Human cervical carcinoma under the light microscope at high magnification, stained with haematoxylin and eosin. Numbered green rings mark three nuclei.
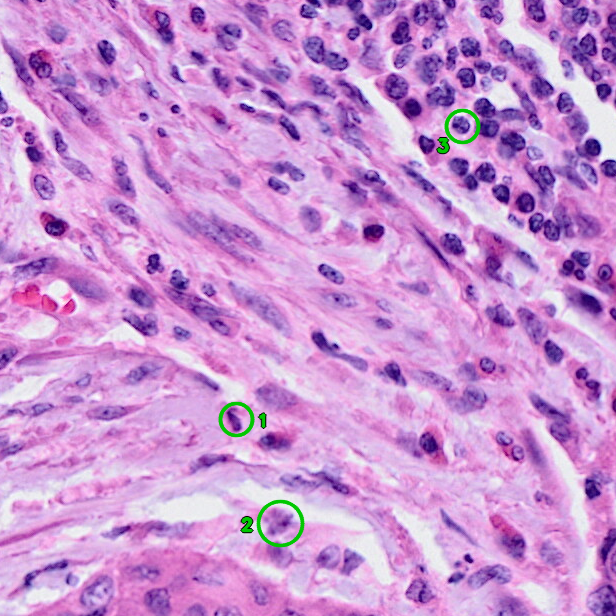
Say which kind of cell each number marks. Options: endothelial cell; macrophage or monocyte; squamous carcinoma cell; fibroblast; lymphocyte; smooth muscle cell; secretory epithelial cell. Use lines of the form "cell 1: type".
cell 1: macrophage or monocyte
cell 2: fibroblast
cell 3: lymphocyte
